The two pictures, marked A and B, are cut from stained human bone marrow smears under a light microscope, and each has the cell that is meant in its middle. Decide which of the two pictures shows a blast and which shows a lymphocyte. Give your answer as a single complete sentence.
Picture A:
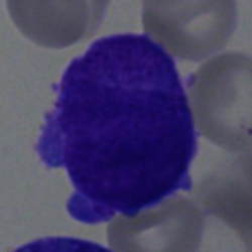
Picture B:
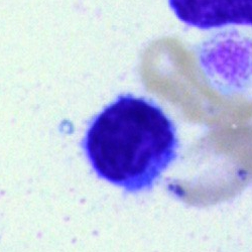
The cell in picture A is a blast, and the one in picture B is a lymphocyte.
